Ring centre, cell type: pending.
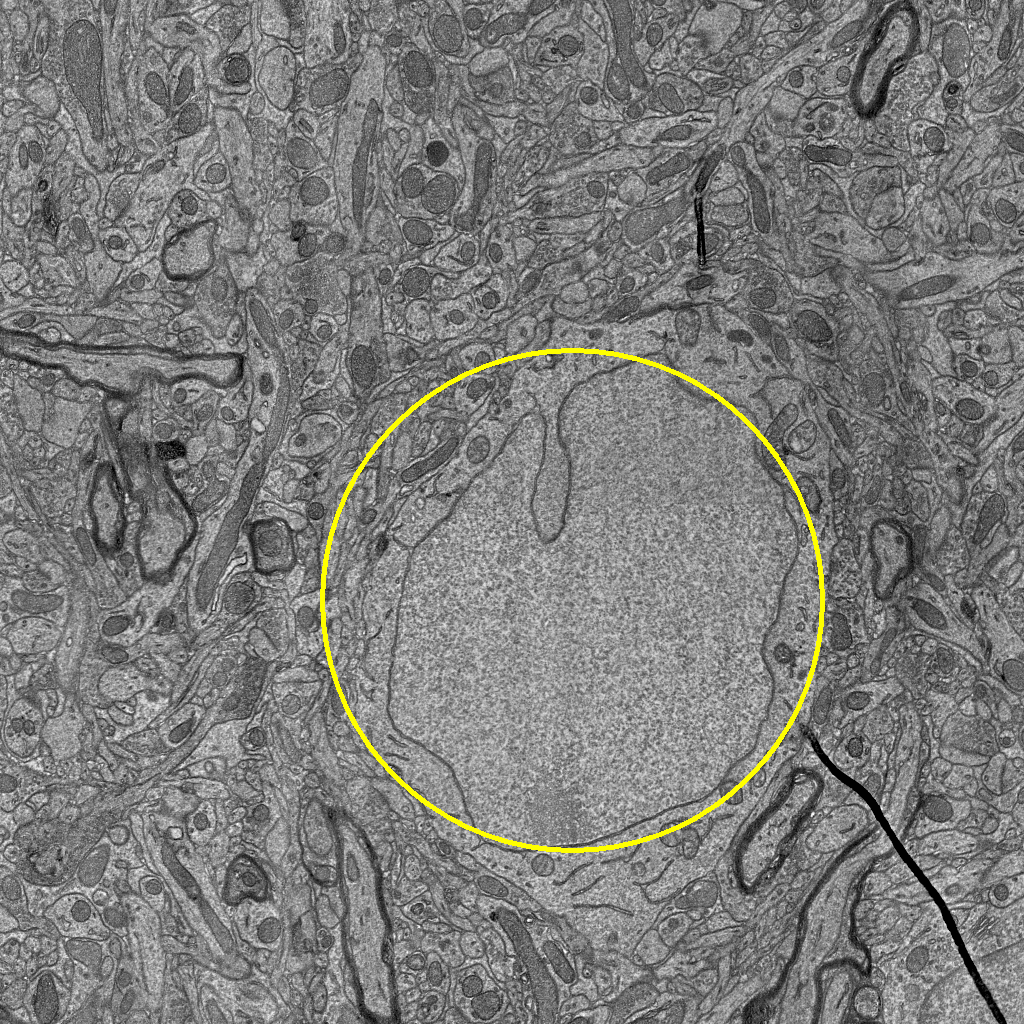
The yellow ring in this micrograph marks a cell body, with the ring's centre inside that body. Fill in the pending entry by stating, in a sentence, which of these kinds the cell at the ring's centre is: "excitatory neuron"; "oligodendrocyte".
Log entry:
The cell at the ring's centre is recorded as an excitatory neuron.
